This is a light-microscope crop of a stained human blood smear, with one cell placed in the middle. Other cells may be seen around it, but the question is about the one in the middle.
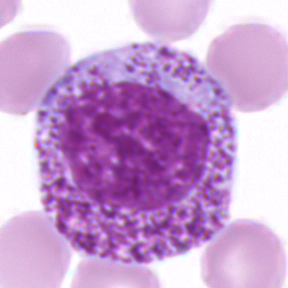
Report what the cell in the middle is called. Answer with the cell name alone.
myelocyte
